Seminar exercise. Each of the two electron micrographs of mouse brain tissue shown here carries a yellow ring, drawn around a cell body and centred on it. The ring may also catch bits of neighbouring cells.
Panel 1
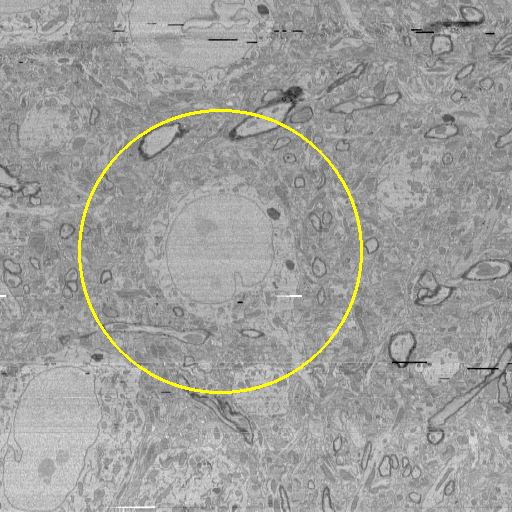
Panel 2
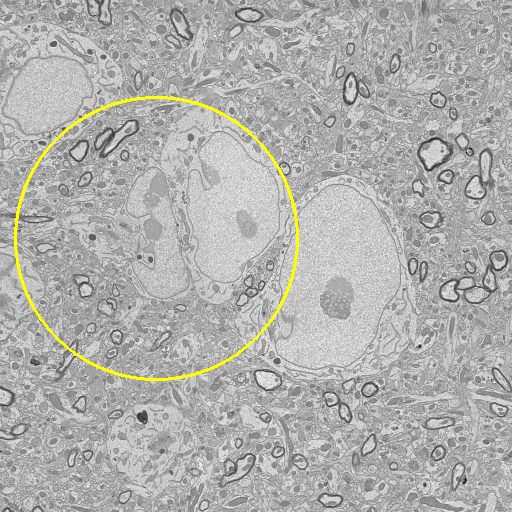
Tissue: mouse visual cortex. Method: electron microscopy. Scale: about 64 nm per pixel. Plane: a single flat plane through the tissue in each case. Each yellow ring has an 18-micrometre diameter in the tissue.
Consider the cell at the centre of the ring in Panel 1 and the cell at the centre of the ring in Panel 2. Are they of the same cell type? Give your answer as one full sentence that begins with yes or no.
No, the two cells are of two types.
